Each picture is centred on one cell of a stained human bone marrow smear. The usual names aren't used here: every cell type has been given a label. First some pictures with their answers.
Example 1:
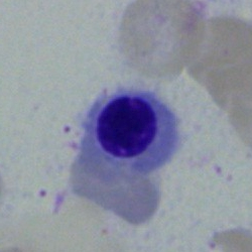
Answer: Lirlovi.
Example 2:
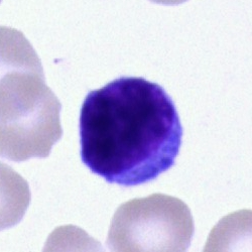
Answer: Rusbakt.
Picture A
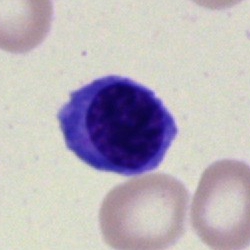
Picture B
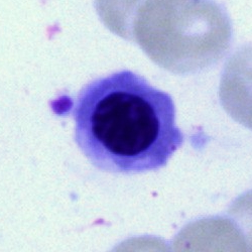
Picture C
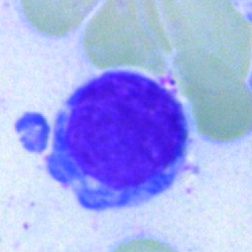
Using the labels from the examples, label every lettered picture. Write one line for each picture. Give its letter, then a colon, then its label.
A: Lirlovi.
B: Lirlovi.
C: Rusbakt.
